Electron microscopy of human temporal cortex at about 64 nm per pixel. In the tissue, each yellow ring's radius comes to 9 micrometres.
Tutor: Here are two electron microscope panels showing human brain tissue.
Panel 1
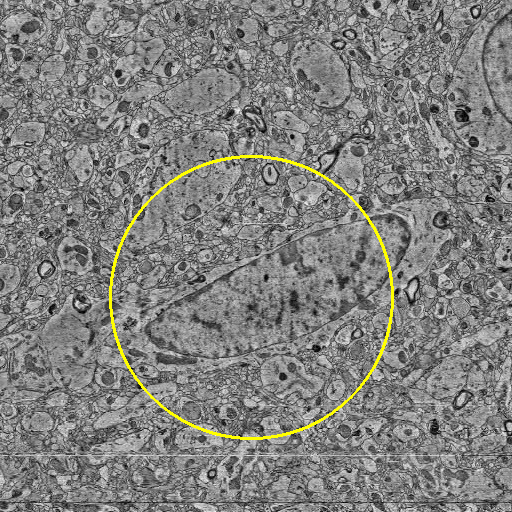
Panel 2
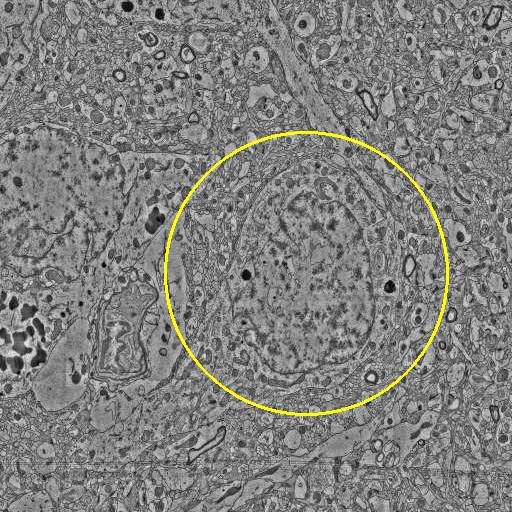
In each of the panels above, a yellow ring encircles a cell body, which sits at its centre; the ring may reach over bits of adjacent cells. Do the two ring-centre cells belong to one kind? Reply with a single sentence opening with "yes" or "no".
No, the two cells sitting at the ring centres in the panels belong to two kinds.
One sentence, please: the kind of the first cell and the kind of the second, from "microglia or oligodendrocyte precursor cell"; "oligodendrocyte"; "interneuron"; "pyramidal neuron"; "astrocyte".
The ring in the first picture surrounds a microglial cell or oligodendrocyte precursor cell, and the ring in the second surrounds an interneuron.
